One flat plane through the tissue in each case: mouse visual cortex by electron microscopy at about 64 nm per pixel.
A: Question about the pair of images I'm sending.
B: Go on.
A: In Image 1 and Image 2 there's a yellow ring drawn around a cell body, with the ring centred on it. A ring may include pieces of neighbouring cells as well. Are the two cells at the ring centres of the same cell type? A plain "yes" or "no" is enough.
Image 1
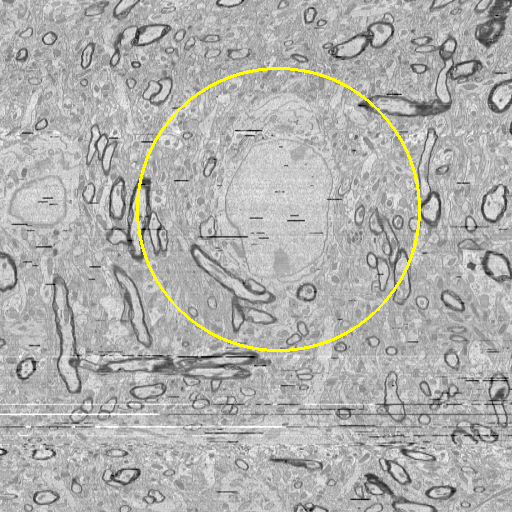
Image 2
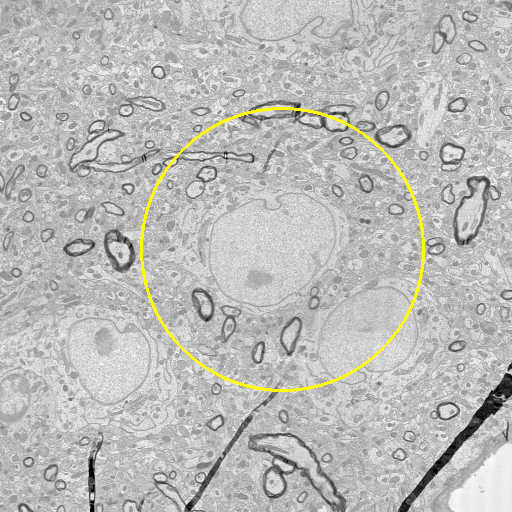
yes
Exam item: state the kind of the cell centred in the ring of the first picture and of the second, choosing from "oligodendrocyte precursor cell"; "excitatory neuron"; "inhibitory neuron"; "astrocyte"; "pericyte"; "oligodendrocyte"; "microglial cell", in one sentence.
The ring centre holds an excitatory neuron in each of the two pictures.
